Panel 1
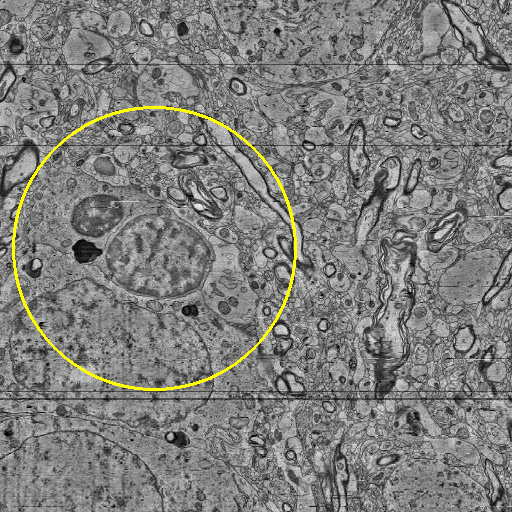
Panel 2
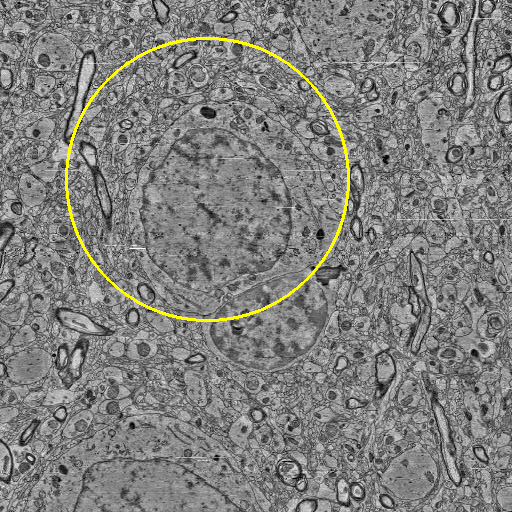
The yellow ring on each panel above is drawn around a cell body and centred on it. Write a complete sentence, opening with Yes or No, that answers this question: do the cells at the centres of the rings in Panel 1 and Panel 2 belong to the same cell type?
No, the two cells belong to two cell types.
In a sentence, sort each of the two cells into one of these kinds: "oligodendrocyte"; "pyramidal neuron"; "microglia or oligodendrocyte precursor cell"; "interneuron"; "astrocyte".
The first of the two cells is an oligodendrocyte, and the second is an interneuron.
